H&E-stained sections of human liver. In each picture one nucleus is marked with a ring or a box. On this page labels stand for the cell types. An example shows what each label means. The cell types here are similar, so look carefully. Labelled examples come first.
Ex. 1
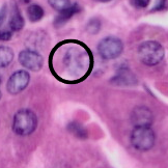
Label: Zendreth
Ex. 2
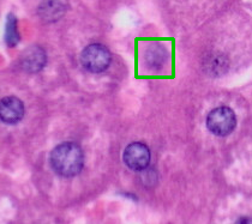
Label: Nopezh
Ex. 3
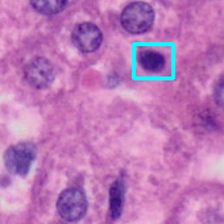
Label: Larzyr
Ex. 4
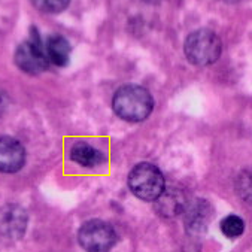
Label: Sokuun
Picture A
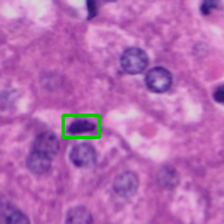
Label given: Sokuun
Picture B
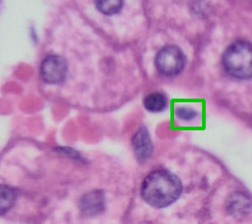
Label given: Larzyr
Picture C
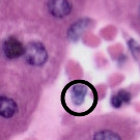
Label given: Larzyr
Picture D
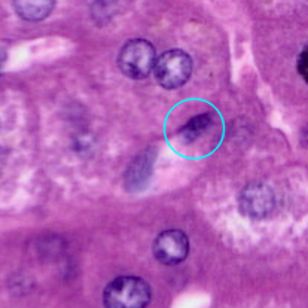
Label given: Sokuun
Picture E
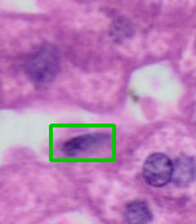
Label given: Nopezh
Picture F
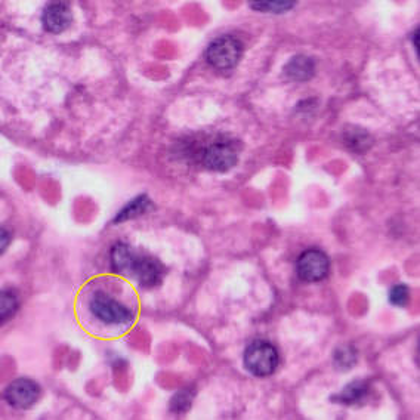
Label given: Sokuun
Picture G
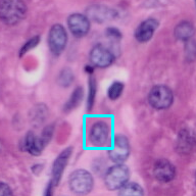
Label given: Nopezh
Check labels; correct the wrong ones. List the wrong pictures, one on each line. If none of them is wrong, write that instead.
G: change Nopezh to Zendreth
